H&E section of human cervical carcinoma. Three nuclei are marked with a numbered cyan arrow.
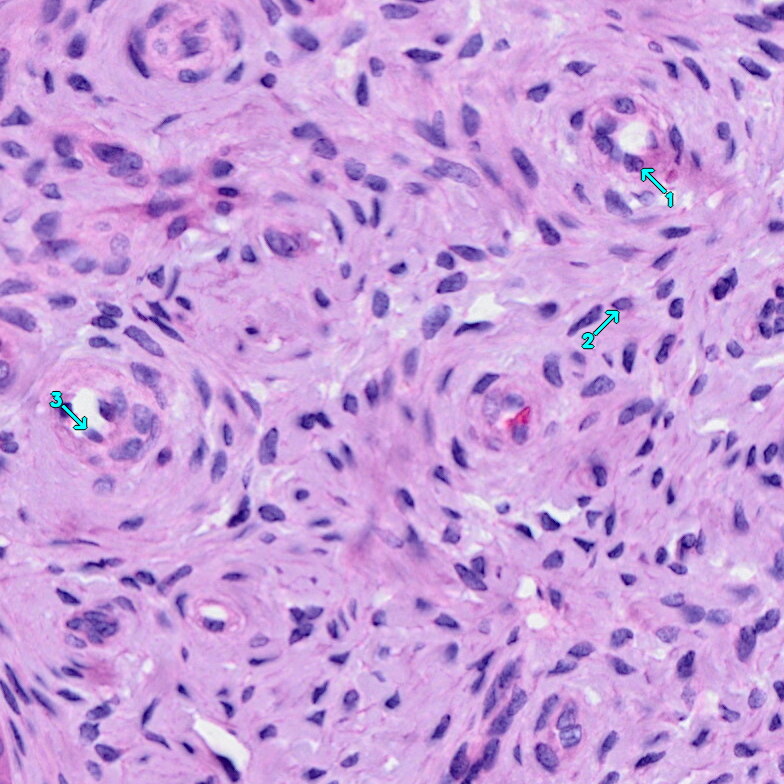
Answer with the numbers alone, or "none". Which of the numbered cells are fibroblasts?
2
